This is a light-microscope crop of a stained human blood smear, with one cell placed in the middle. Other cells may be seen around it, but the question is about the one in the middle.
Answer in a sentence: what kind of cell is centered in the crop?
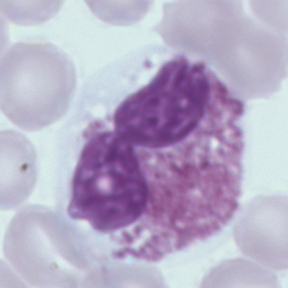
In the crop, the cell of interest at the centre is an eosinophil.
